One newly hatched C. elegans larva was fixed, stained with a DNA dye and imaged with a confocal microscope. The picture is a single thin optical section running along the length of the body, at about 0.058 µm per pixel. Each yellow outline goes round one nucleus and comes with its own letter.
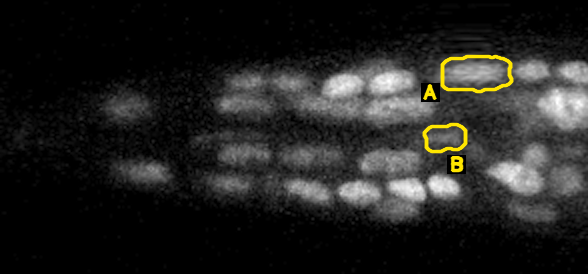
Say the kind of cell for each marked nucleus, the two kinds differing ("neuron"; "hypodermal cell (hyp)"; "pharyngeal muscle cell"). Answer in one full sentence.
A is from a hypodermal cell (hyp), and B is from a pharyngeal muscle cell.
